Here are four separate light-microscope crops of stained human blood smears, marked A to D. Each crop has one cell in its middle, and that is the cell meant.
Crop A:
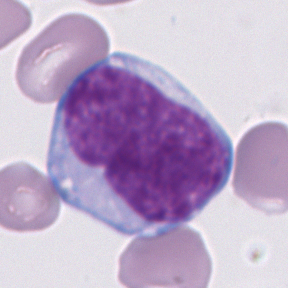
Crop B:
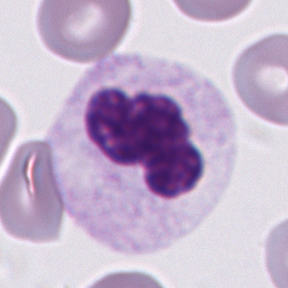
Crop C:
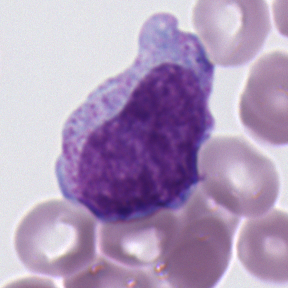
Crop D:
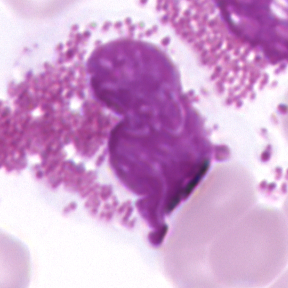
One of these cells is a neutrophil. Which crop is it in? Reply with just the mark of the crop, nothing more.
B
